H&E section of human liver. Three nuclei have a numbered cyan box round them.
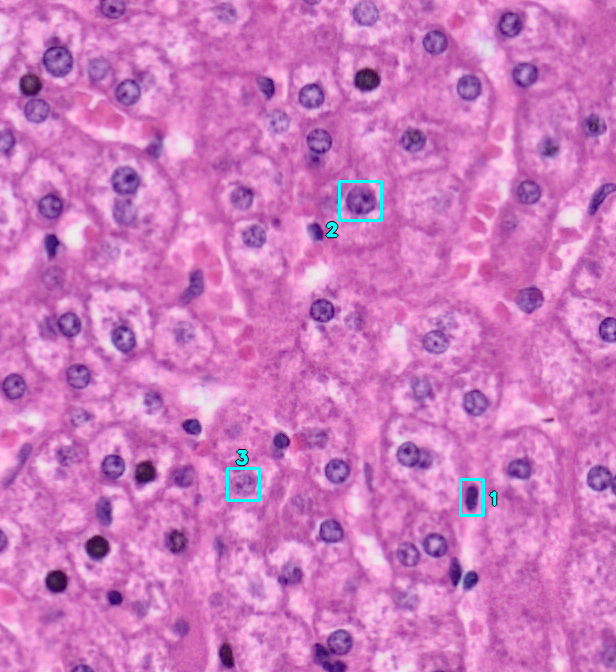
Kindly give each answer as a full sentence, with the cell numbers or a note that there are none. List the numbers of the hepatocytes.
Into the category of hepatocytes fall the cells numbered 2 and 3.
